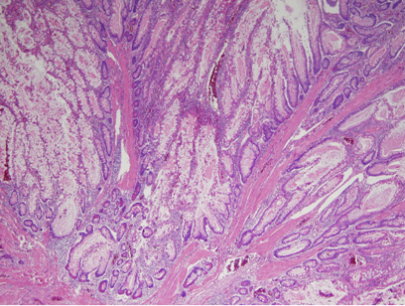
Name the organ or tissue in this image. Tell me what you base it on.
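Smooth muscle fibers. Bright pink fibrous bands run between and around the gland groups. The pink bands branch in a tree-like fashion through the tissue.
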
